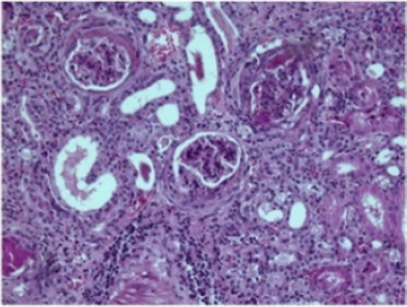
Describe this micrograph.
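This kidney cortex contains several glomeruli with hypercellular tufts, their nuclei dense and purple, enclosed in Bowman's capsules and surrounded by thickened, layered periglomerular tissue. Around them and in the lower part of the field, the interstitium holds dense clusters of small dark round nuclei of inflammatory cells. Tubules vary widely: some are dilated with irregular, empty pale lumina, others are lined by pink cuboidal epithelium. The tissue between structures is expanded, so tubules lie far apart rather than packed side by side.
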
